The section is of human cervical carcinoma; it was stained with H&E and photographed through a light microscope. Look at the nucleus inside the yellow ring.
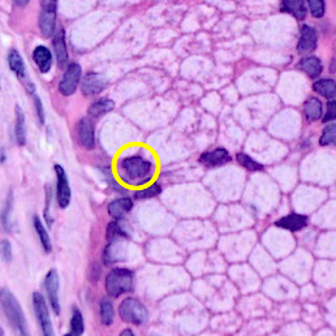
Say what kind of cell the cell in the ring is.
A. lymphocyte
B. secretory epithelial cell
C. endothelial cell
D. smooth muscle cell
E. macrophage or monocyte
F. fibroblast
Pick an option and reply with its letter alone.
B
